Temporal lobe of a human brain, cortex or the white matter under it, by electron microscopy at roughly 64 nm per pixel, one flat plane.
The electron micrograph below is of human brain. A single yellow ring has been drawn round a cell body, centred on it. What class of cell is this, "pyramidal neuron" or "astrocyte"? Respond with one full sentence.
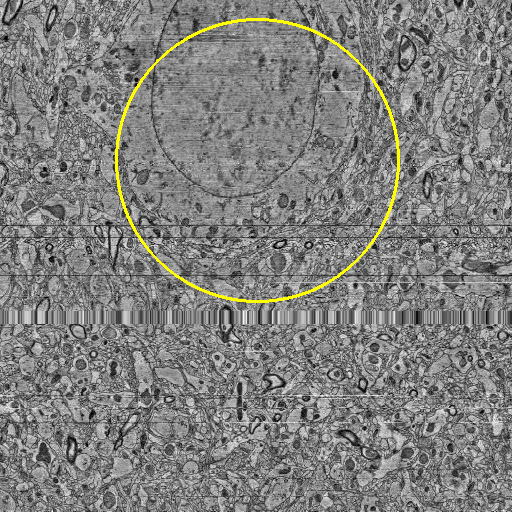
In the micrograph, the cell centred inside the yellow ring is a pyramidal neuron.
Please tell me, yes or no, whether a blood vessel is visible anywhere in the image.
No, no blood vessel can be seen.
